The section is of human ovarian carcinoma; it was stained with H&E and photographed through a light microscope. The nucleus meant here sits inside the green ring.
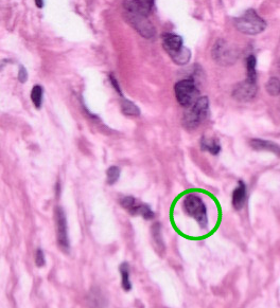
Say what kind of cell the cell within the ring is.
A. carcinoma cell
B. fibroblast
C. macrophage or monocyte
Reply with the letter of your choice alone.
C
